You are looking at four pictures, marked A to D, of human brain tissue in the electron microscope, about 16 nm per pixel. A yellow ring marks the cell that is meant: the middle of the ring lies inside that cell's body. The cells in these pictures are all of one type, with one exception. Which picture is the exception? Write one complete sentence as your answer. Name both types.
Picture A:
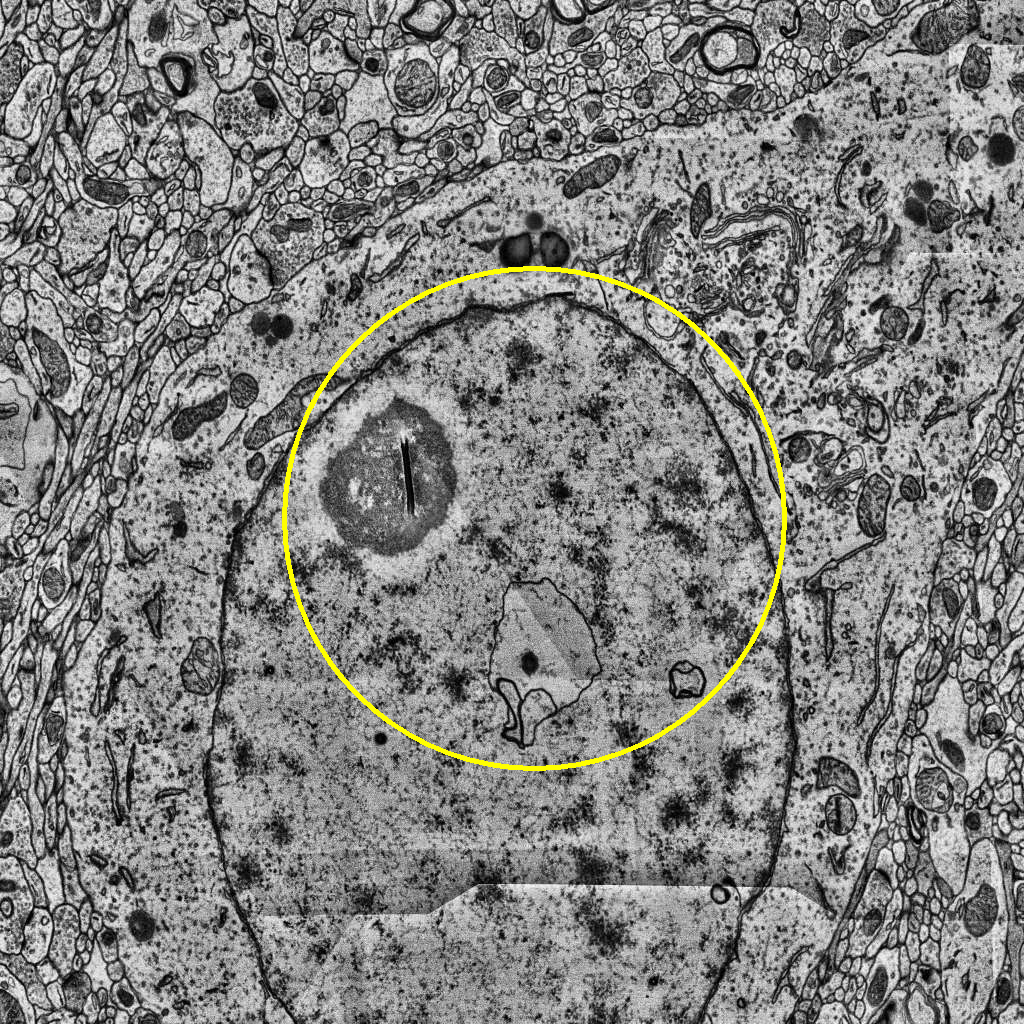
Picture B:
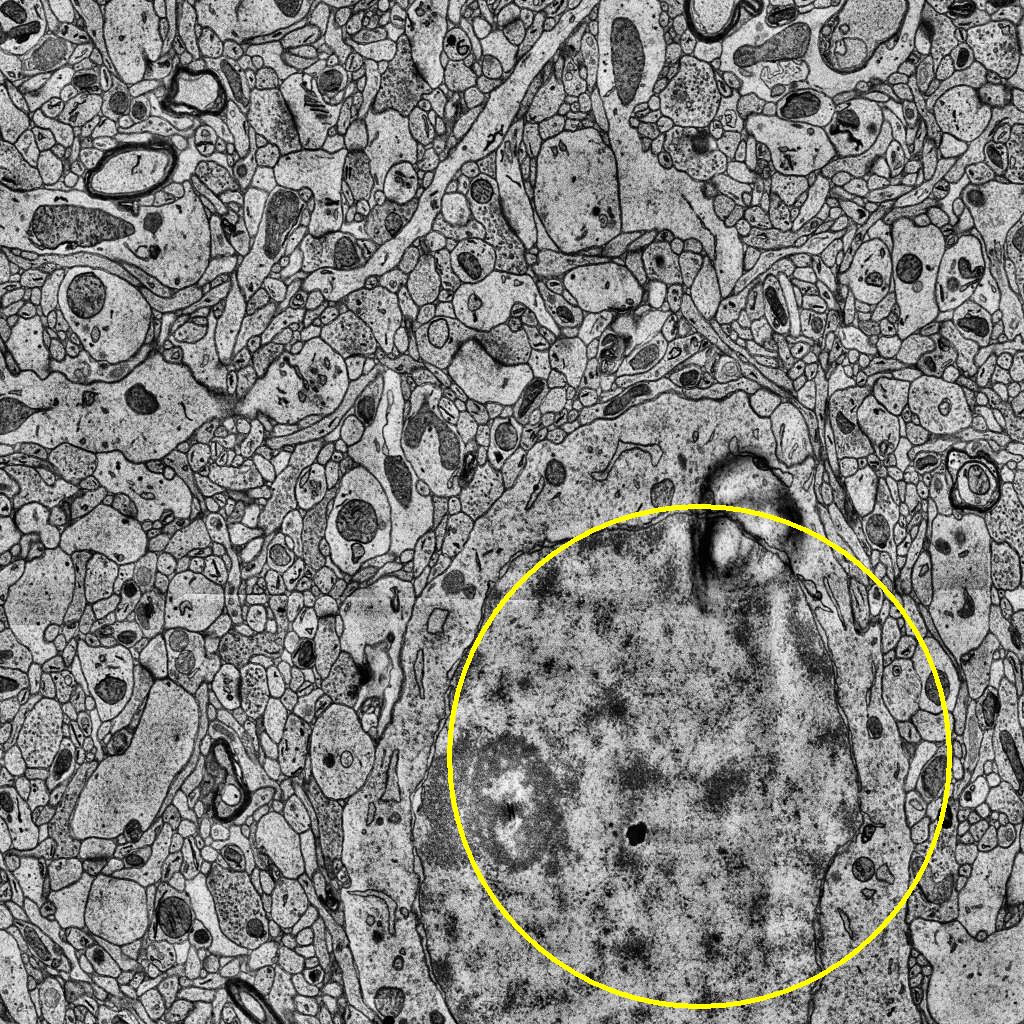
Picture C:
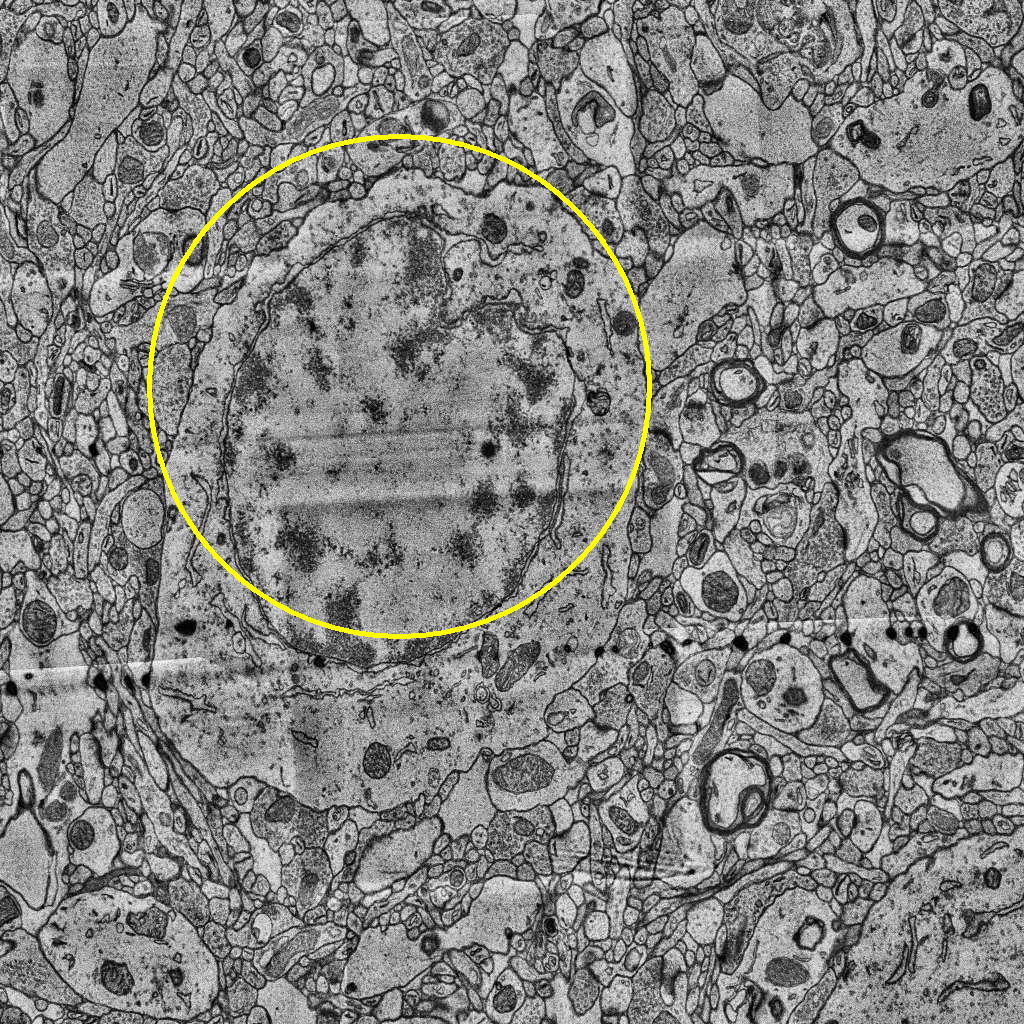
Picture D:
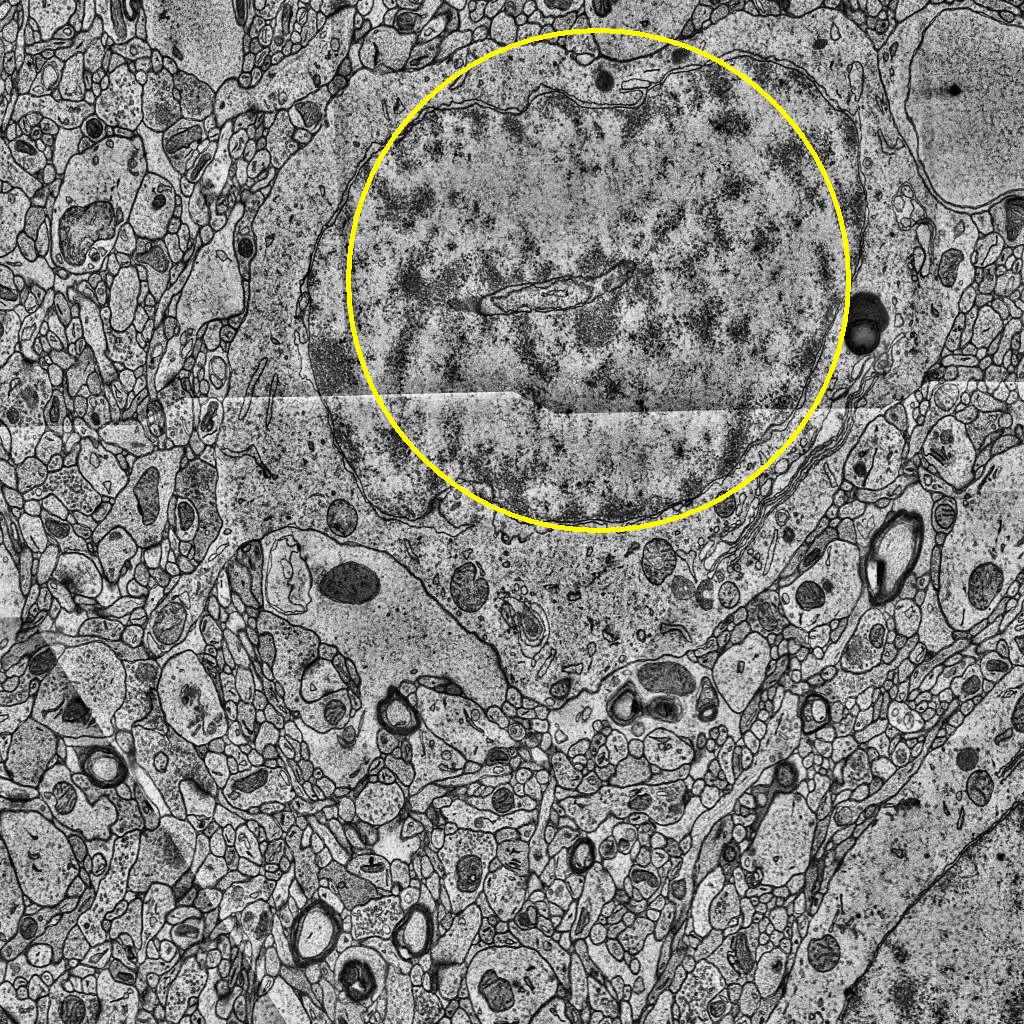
Picture A is the odd one out: it shows a pyramidal neuron, while the others show interneurons.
